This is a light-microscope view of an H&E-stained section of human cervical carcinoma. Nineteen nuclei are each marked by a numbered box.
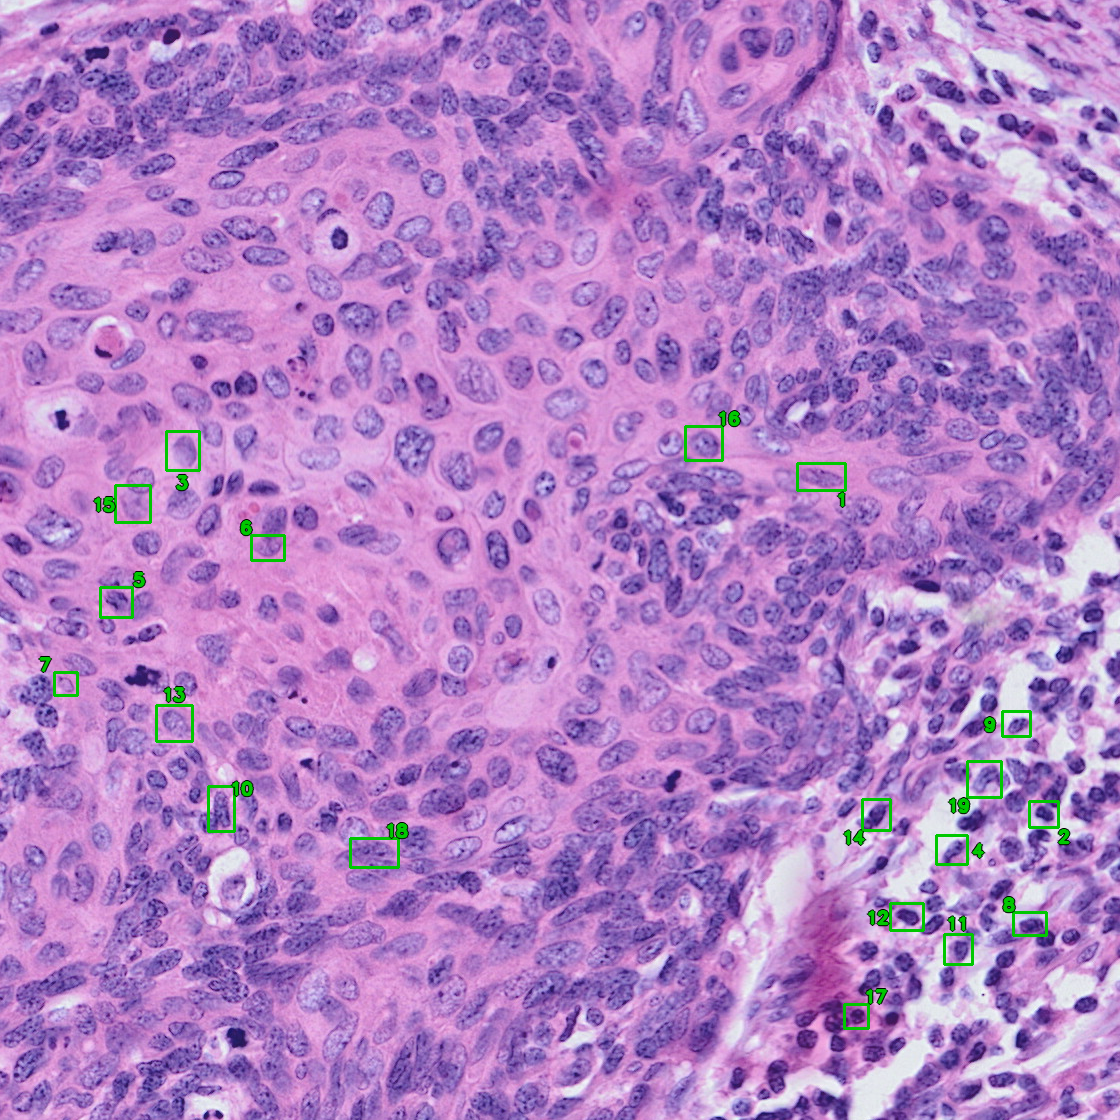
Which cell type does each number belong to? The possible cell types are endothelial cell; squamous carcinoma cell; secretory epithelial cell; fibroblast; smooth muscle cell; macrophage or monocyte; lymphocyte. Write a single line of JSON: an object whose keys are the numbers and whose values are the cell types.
{"1": "squamous carcinoma cell", "2": "lymphocyte", "3": "squamous carcinoma cell", "4": "lymphocyte", "5": "squamous carcinoma cell", "6": "squamous carcinoma cell", "7": "squamous carcinoma cell", "8": "lymphocyte", "9": "lymphocyte", "10": "squamous carcinoma cell", "11": "lymphocyte", "12": "lymphocyte", "13": "squamous carcinoma cell", "14": "lymphocyte", "15": "squamous carcinoma cell", "16": "squamous carcinoma cell", "17": "lymphocyte", "18": "squamous carcinoma cell", "19": "lymphocyte"}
